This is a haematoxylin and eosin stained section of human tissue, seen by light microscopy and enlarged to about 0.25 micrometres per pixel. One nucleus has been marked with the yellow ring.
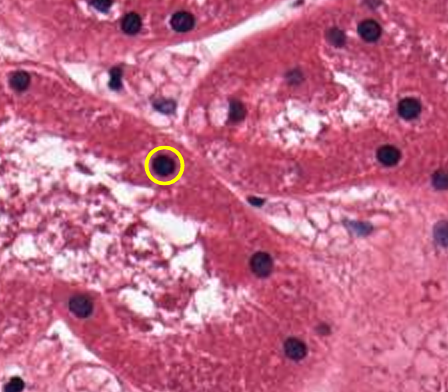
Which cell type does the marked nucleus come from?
proximal tubule cell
